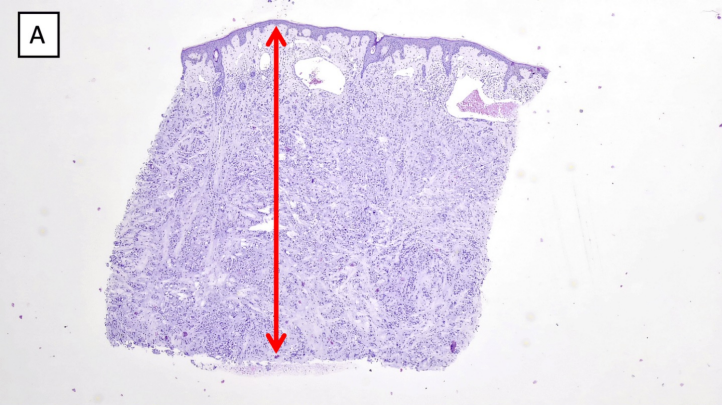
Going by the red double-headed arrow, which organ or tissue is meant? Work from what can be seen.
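A thin epidermis lines the top edge of the section. The whole layer under the epidermis is filled by densely cellular tissue. So: dermis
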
